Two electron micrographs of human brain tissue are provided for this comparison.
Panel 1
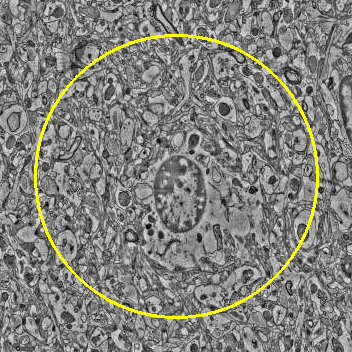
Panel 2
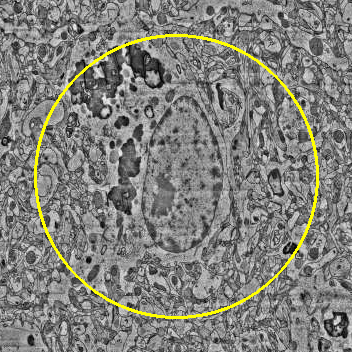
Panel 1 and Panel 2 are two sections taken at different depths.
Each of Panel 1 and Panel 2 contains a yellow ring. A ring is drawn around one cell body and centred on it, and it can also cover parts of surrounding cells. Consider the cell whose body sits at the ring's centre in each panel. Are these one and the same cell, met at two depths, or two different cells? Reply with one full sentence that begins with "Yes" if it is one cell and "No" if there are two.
No, the circled cells number two, not one.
